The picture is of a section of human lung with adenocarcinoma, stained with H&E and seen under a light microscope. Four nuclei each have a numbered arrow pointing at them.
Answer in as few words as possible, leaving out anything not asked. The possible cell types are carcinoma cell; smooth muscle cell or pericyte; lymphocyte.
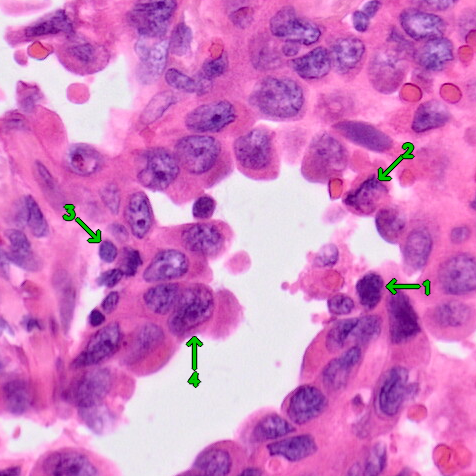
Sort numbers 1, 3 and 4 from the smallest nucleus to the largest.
3, 1, 4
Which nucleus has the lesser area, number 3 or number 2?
3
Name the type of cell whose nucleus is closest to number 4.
carcinoma cell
